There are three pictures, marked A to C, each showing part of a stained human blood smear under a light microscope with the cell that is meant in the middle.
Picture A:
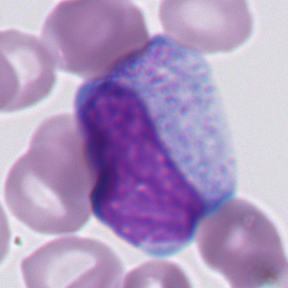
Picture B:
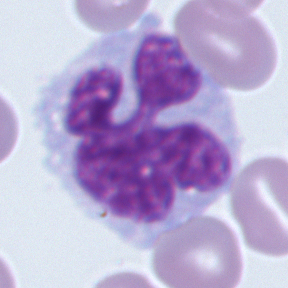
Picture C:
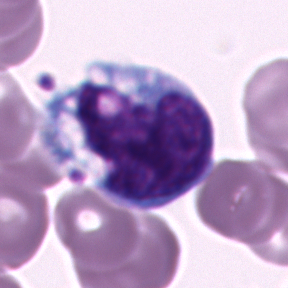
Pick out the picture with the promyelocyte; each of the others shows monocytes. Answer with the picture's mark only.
A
